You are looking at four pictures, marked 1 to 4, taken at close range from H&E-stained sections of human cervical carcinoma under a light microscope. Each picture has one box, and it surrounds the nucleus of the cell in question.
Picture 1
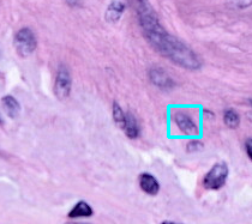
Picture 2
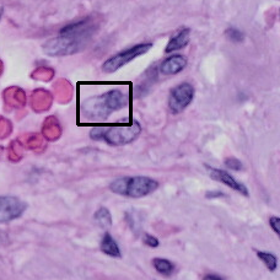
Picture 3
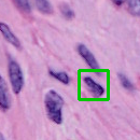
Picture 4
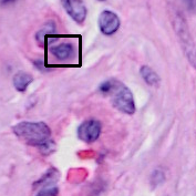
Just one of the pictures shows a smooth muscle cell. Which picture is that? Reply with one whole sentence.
The picture with the smooth muscle cell is 1.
